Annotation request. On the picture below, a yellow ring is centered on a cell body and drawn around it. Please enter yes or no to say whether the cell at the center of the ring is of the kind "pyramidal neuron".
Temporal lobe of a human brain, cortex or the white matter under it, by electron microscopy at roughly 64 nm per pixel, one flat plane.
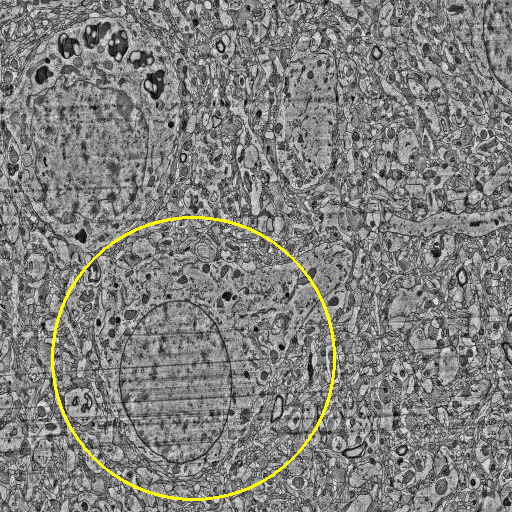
yes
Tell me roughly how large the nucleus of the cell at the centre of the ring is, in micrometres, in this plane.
In this plane the nucleus is about 11 micrometres by 8.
